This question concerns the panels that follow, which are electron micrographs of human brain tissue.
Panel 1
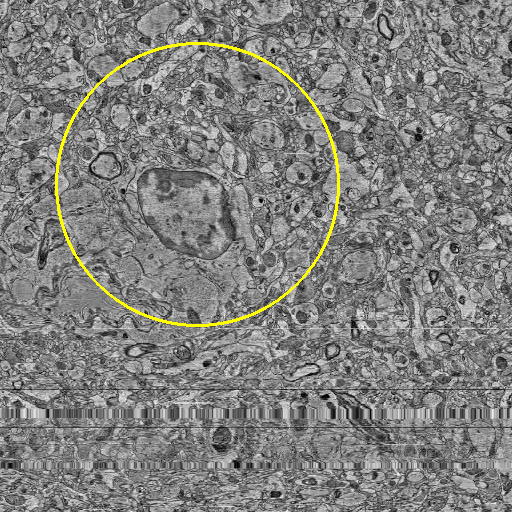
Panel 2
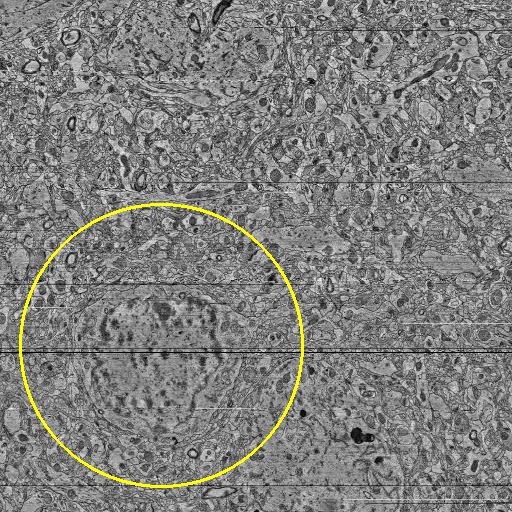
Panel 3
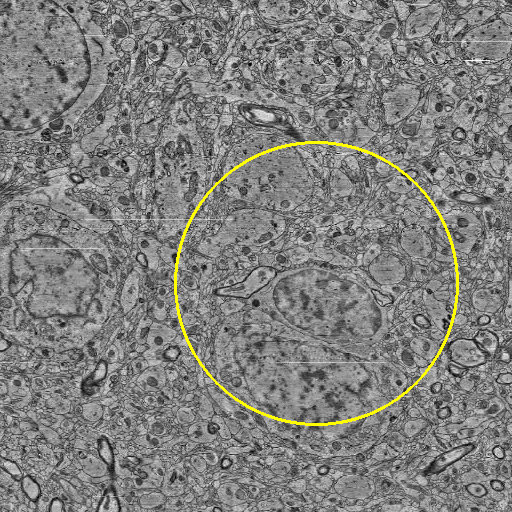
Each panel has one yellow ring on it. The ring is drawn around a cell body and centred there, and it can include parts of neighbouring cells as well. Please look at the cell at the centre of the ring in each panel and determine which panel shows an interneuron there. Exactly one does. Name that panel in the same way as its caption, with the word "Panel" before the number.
Panel 2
